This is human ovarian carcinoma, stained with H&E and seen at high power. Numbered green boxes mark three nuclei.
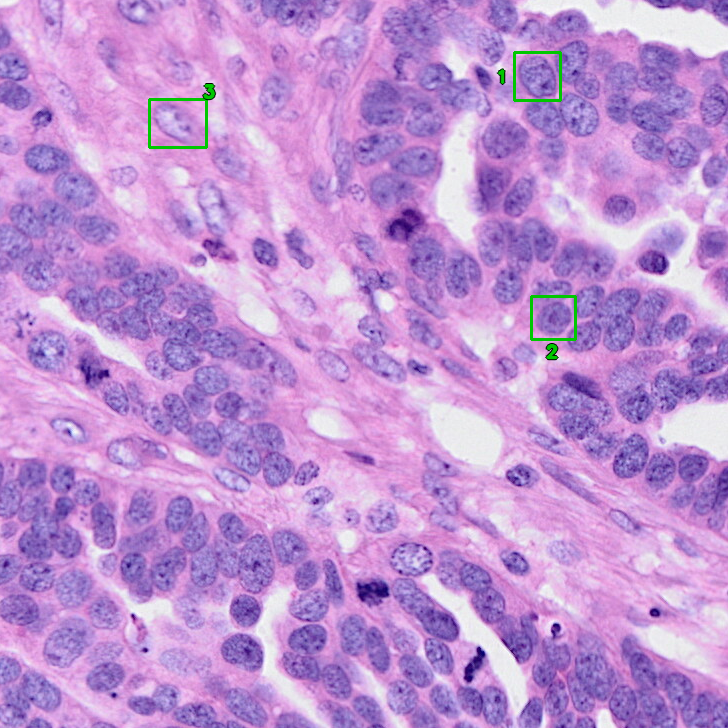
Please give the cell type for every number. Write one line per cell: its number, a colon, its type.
1: carcinoma cell
2: carcinoma cell
3: fibroblast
